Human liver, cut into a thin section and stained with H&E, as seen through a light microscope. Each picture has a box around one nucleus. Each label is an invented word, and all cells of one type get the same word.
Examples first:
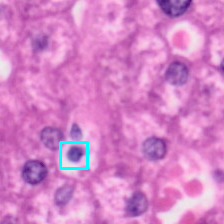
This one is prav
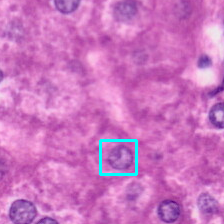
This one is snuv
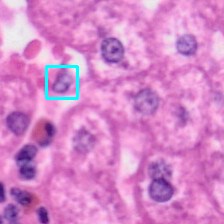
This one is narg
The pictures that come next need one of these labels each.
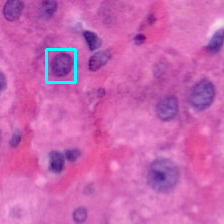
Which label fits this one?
snuv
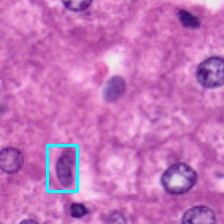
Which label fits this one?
narg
